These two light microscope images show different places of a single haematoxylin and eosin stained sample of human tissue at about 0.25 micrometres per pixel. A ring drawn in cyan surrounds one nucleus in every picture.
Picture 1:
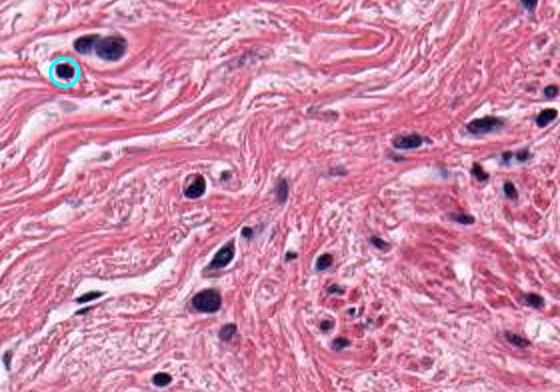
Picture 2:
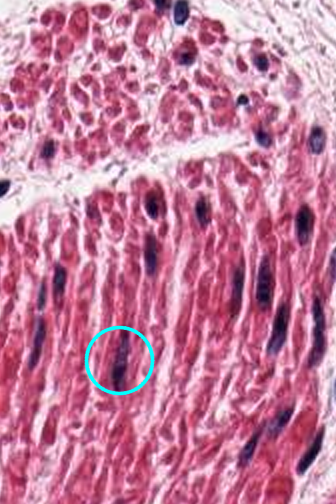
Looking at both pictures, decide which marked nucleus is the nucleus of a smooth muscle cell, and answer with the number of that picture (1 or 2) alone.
2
